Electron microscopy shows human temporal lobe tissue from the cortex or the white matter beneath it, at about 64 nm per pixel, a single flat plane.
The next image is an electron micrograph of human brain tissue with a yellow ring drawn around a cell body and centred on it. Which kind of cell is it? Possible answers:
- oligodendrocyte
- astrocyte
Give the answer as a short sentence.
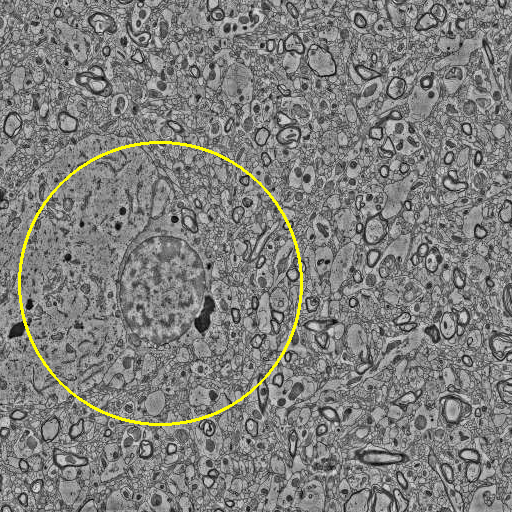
In the ring's centre is an oligodendrocyte.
